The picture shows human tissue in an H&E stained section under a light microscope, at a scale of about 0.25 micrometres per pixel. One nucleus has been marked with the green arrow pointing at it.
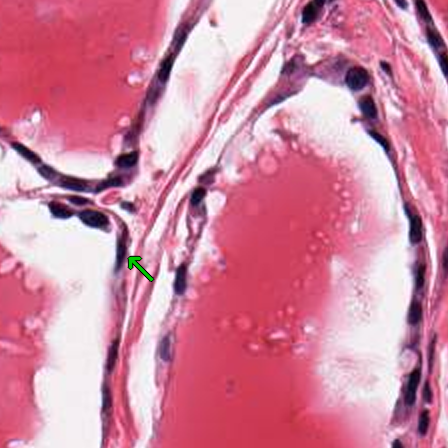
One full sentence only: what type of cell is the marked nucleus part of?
In the section shown, the marked nucleus belongs to a thyroid follicular cell.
